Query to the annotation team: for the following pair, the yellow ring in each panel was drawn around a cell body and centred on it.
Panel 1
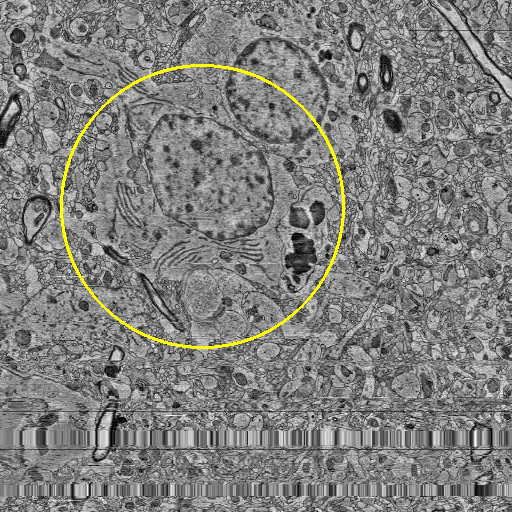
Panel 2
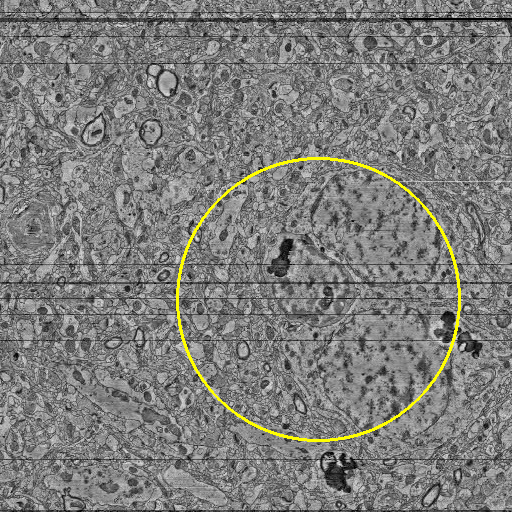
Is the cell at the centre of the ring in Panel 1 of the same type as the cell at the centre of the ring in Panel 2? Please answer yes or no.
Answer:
no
